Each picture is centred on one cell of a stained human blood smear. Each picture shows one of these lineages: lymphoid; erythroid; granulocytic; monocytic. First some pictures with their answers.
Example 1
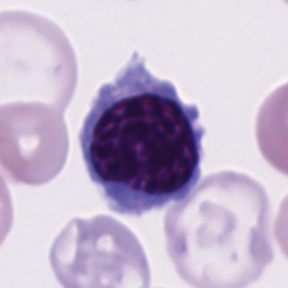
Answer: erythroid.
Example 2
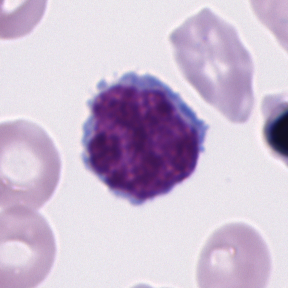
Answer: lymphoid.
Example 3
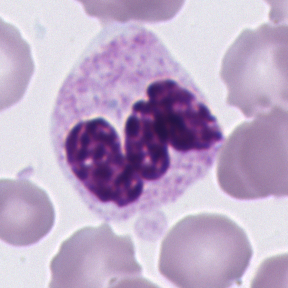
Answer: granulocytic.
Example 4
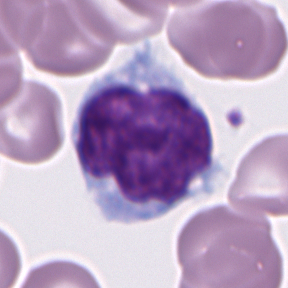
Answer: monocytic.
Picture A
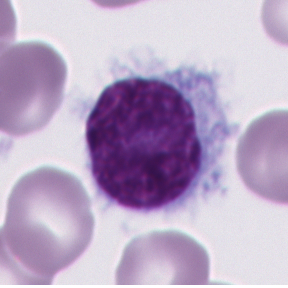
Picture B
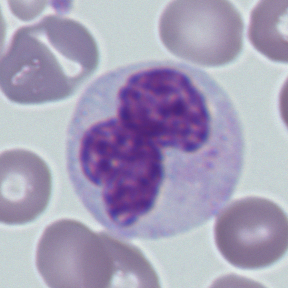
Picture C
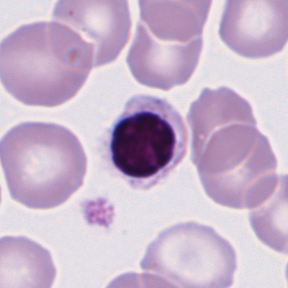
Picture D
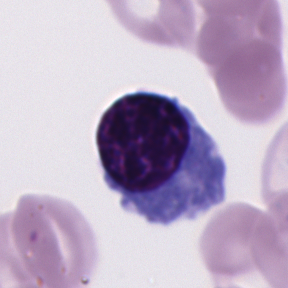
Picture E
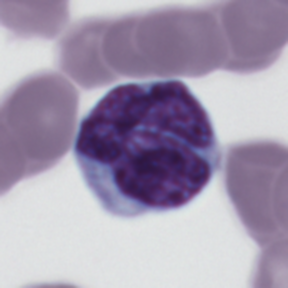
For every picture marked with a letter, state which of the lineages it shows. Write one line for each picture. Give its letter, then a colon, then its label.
A: lymphoid.
B: granulocytic.
C: erythroid.
D: erythroid.
E: monocytic.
